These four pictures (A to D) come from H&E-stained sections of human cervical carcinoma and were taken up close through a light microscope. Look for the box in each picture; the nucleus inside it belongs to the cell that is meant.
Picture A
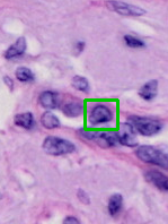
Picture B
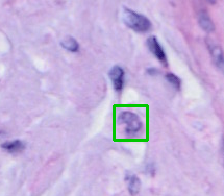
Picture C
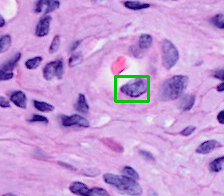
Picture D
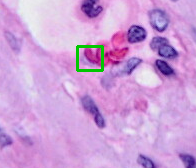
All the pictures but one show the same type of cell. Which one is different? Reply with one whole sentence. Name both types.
Unlike the rest, which show endothelial cells, picture B shows a “macrophage or monocyte”.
